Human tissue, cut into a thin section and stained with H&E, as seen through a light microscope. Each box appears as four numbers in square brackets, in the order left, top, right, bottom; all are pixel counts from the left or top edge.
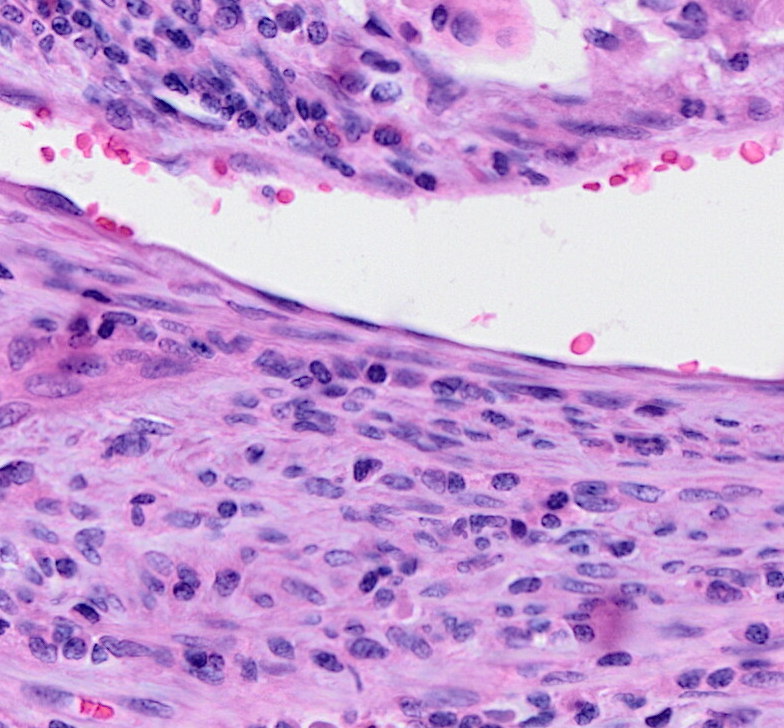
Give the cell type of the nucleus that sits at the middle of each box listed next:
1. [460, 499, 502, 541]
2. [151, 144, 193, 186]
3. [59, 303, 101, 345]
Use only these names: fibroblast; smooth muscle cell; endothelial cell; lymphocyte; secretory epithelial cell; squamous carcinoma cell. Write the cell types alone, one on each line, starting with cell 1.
lymphocyte
endothelial cell
lymphocyte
